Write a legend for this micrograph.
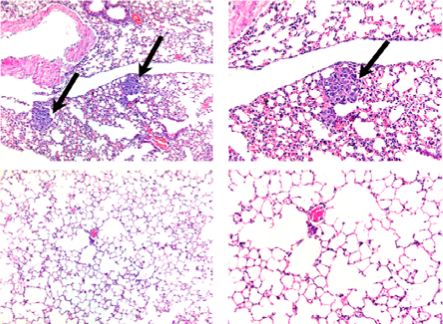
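Lung tissue stained with haematoxylin and eosin, shown at low and higher magnification in a block of four fields. Most of each field is made up of alveoli: open white airspaces bounded by thin pink septa that carry small purple nuclei. In the upper fields, large airway or vessel lumens are lined by pink walls. The lower fields show only the delicate alveolar network and a small vessel containing red blood cells, with no such dense clusters.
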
